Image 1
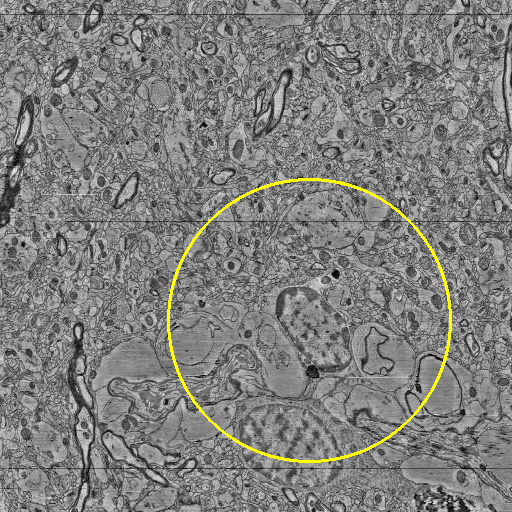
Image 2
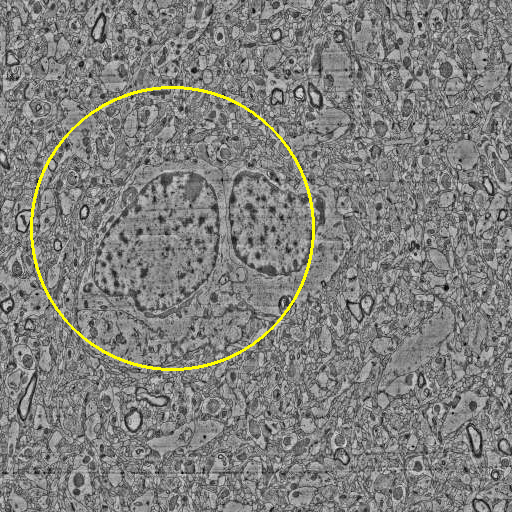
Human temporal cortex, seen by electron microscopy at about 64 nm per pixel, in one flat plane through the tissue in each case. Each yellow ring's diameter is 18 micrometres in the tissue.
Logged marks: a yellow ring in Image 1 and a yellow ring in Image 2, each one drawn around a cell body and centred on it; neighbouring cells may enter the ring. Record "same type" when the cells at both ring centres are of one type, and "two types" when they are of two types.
same type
